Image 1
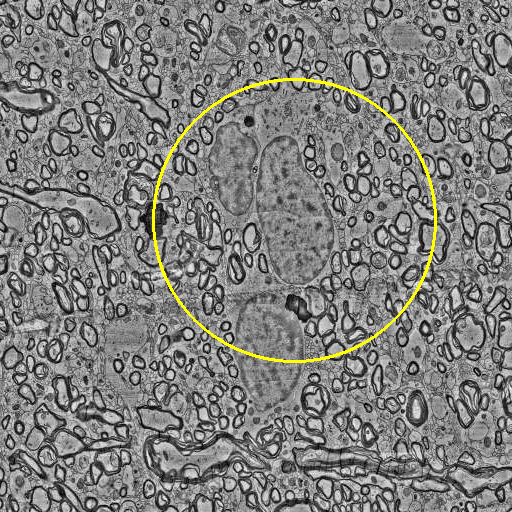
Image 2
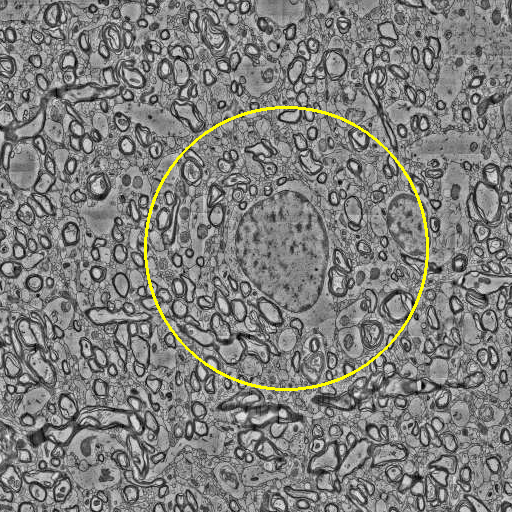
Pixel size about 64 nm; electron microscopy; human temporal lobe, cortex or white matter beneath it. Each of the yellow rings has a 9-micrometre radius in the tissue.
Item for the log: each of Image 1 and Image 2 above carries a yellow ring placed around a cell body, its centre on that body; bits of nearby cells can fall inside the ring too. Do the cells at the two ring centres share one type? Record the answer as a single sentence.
Yes, the two cells at the ring centres in Image 1 and Image 2 share one type.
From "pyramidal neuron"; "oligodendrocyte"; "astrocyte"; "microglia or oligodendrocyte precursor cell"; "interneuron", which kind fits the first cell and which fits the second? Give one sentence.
Both rings mark a microglial cell or oligodendrocyte precursor cell, one in each picture.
